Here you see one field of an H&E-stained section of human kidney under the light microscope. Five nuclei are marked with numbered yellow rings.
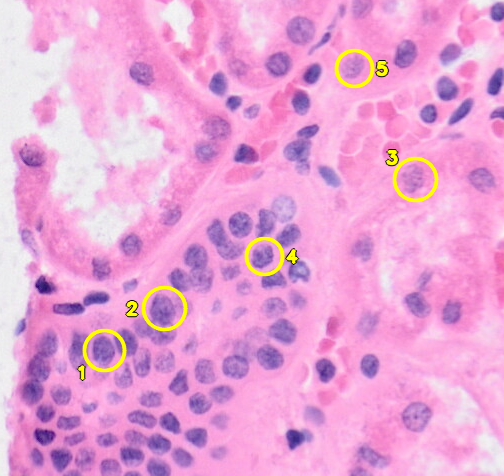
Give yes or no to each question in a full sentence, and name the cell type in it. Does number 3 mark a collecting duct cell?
No, cell 3 should be classed as a proximal tubule cell, not as a collecting duct cell.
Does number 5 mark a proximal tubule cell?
Yes, among the marked cells, the one with number 5 is a proximal tubule cell.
